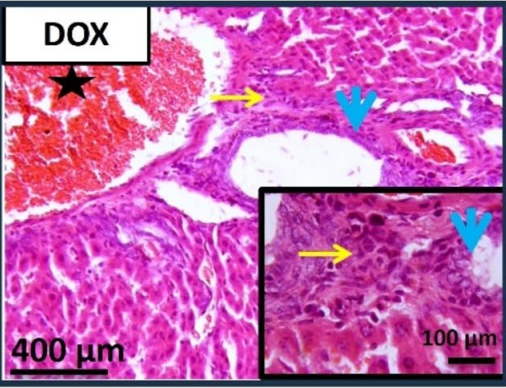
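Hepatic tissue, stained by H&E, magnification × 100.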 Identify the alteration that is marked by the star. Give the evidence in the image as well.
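Extensive portal congestion. A large vessel is packed with red blood cells. The vessel lies in a portal area with surrounding connective tissue.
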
